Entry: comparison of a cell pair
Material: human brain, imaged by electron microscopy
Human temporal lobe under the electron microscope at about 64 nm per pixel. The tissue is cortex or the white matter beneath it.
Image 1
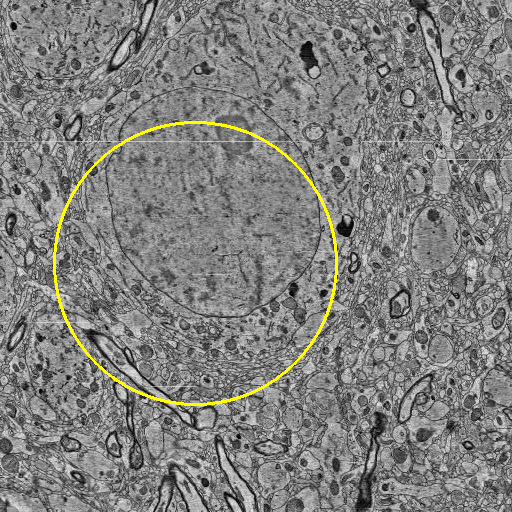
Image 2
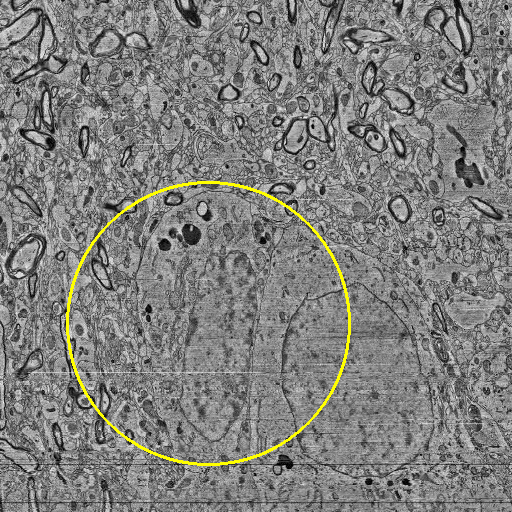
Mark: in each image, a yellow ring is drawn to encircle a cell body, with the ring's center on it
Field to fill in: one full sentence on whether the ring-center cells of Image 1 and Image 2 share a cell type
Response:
No, Image 1 and Image 2 show ring-center cells of two separate types.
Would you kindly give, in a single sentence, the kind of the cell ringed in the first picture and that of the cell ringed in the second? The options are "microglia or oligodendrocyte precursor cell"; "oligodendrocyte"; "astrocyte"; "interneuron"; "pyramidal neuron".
The second cell is an interneuron, and the first cell is a pyramidal neuron.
